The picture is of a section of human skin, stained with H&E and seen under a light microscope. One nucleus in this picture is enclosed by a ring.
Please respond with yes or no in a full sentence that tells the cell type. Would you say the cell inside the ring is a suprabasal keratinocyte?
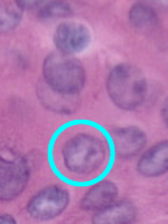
Yes, the cell inside the ring in this field is a suprabasal keratinocyte.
